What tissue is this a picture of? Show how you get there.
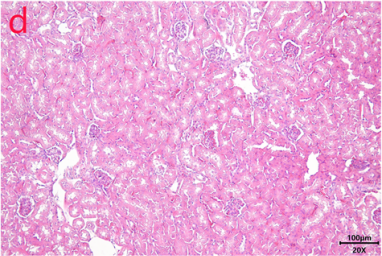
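Glomeruli and renal tubules. Round capillary tufts are scattered among many closely packed tubules. Tubules are lined by pink cuboidal cells around small lumens.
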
